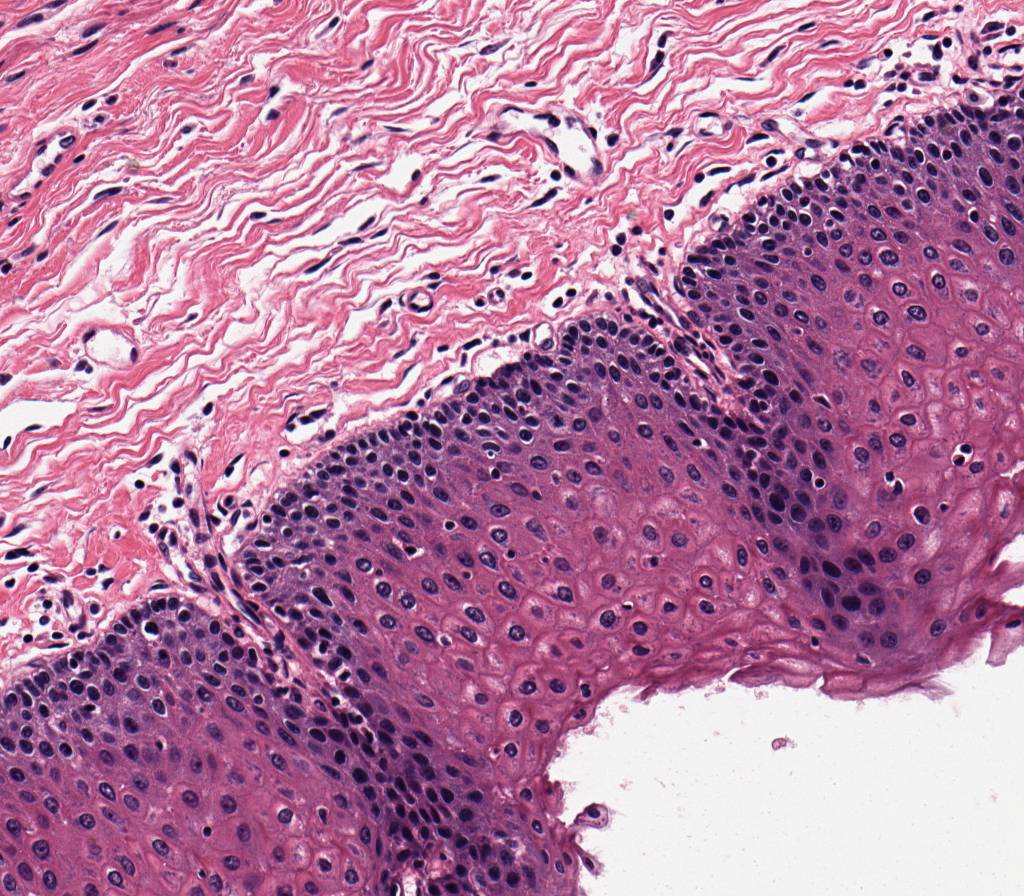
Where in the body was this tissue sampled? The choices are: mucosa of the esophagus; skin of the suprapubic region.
mucosa of the esophagus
